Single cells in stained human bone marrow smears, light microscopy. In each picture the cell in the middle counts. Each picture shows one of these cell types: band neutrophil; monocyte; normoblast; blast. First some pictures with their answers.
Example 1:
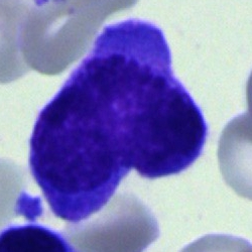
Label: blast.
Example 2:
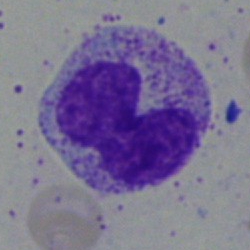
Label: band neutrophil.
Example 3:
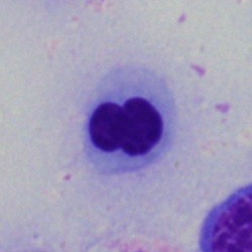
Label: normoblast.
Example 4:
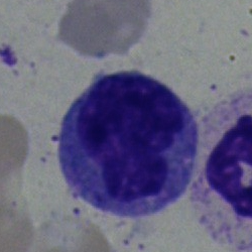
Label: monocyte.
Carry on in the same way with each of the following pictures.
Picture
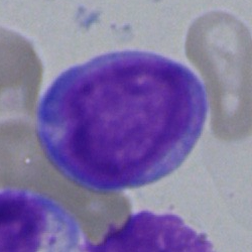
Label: blast.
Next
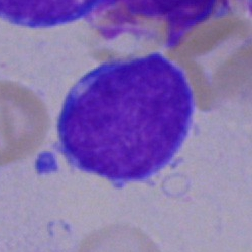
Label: blast.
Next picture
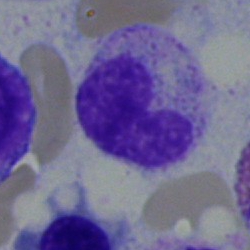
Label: band neutrophil.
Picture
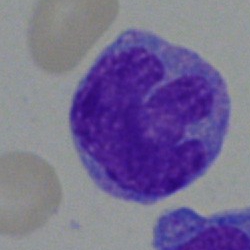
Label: monocyte.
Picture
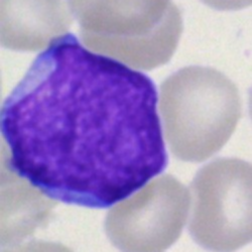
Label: blast.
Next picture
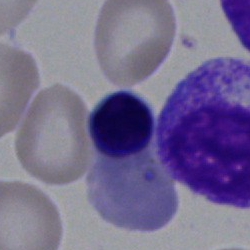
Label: normoblast.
